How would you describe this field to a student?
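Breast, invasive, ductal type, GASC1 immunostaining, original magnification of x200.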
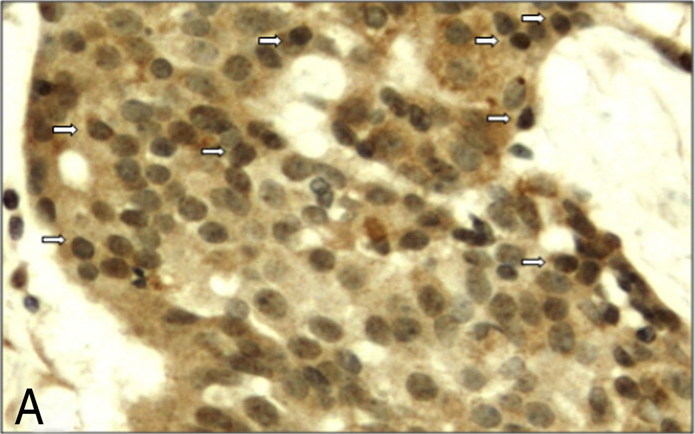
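A solid nest of carcinoma epithelial cells fills most of the field, bordered by pale stroma at the left and upper right edges. The cells are tightly packed with oval nuclei, many of which are tinged or stained dark brown, mixed with some paler grey-blue nuclei. The cytoplasm between the nuclei carries a diffuse light brown colour, stronger in some patches. Small rounded clear spaces are scattered within the nest, giving it a sieve-like look in places. Nuclei at the edges of the nest are often more densely brown than those in the centre.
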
